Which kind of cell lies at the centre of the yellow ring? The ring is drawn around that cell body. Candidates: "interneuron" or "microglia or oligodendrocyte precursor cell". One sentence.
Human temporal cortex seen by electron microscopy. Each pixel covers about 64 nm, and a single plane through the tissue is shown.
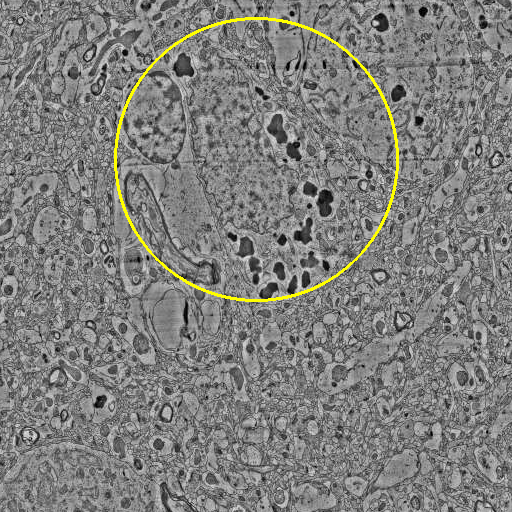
Lying at the centre of the ring is an interneuron.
